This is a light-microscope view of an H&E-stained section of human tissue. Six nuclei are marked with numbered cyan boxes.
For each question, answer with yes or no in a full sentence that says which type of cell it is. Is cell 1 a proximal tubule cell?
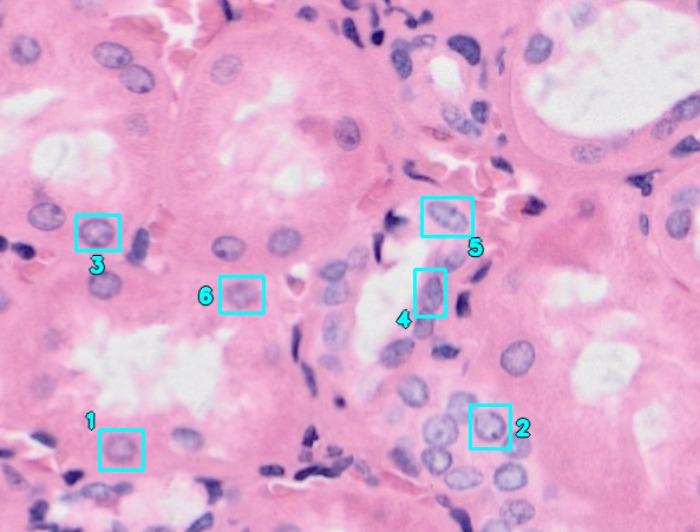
Yes, the cell that the number 1 labels is a proximal tubule cell.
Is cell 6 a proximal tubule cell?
Yes, the marked cell number 6 is a proximal tubule cell.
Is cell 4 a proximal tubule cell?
No, what number 4 shows is a collecting duct cell, not a proximal tubule cell.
